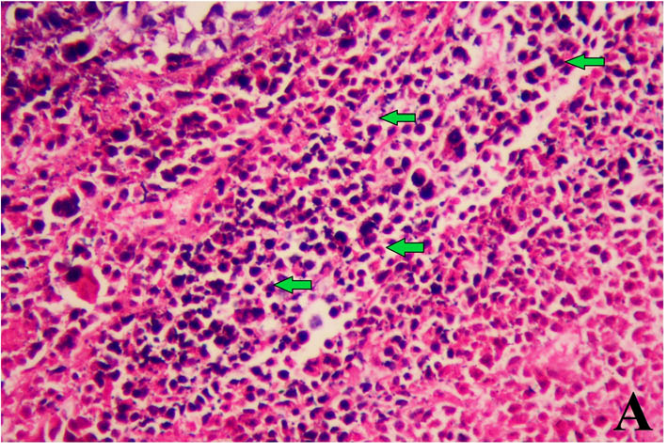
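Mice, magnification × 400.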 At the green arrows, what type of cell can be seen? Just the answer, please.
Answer: large, round and polygonal tumor cells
